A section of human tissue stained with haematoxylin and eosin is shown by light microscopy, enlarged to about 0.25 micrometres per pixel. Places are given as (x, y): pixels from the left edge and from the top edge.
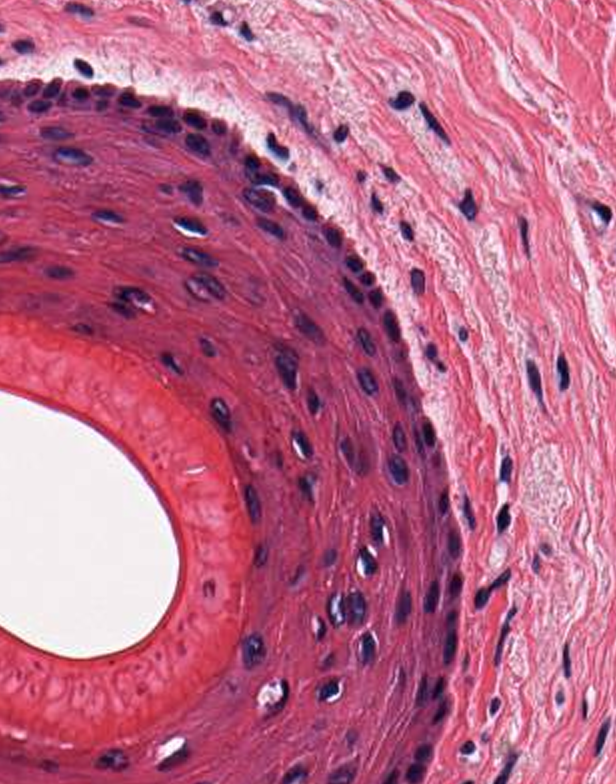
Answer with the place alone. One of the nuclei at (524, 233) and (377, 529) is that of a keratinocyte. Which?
(377, 529)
